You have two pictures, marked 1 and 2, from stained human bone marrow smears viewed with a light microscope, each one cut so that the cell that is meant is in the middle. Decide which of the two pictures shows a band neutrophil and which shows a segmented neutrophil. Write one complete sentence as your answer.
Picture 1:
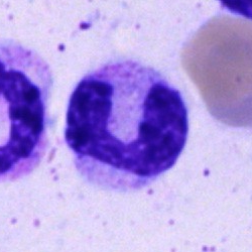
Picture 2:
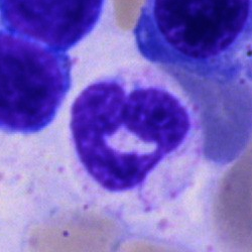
Picture 1 shows a band neutrophil and picture 2 shows a segmented neutrophil.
